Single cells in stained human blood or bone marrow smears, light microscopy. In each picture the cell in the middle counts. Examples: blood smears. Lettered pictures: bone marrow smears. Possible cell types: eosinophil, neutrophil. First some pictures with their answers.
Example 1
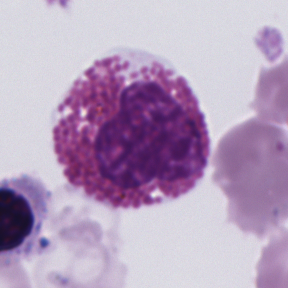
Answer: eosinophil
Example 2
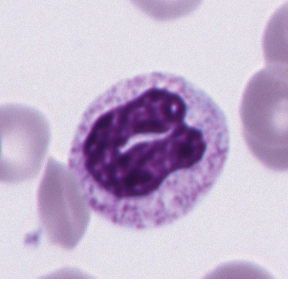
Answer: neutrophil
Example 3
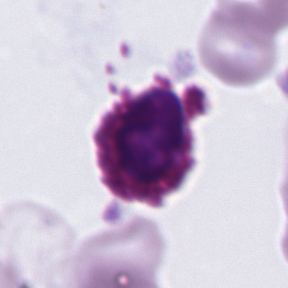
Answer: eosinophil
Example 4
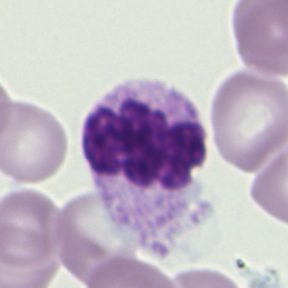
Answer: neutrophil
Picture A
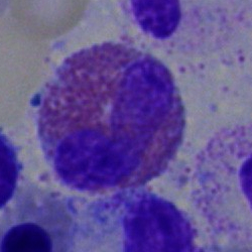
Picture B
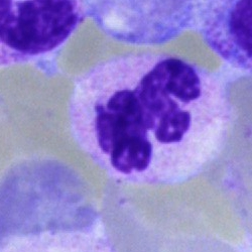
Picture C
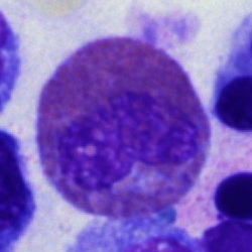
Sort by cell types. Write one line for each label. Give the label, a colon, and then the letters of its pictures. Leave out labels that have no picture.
eosinophil: A, C
neutrophil: B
